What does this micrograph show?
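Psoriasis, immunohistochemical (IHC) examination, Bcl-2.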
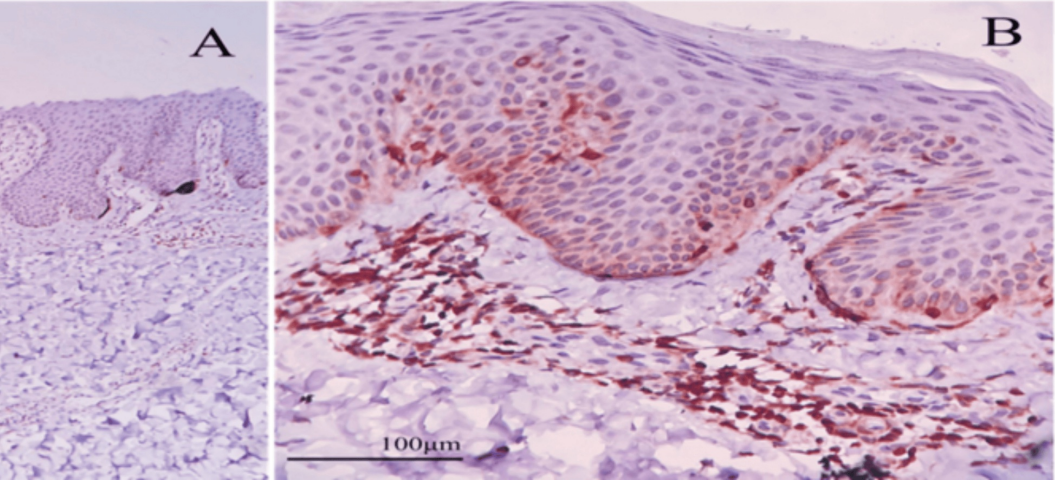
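Skin with stratified squamous epithelium of keratinocytes above a dermis crowded with small lymphocytes. The keratinocytes have oval blue nuclei and pale cytoplasm, and flatten toward the surface beneath a thin compact surface layer. In the dermis below, many small crowded cells are stained strongly red-brown. The rest of the dermis is loose pale connective tissue with blue counterstained nuclei.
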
